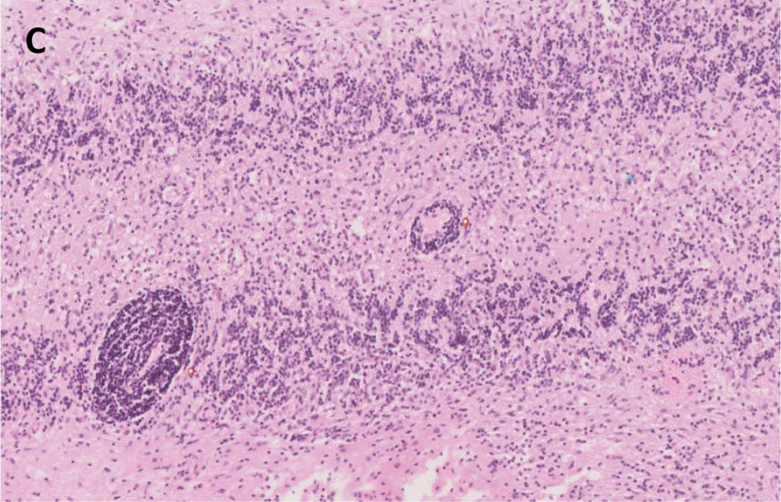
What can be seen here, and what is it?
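Cerebellar tissue with perivascular collections of lymphocytes. Broad bands of closely packed small dark nuclei run across the field, separated by paler pink neuropil. Around small vessels lie dense rings of small round dark nuclei, forming cuffs of lymphocytes.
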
